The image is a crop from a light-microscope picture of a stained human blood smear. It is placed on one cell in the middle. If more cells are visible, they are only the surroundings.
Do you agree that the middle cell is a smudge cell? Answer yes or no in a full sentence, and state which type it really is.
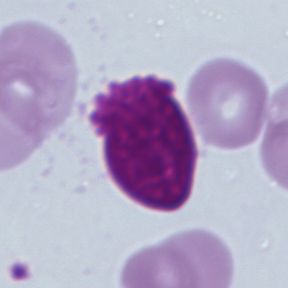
Yes, the identification of the central cell as a smudge cell is correct.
